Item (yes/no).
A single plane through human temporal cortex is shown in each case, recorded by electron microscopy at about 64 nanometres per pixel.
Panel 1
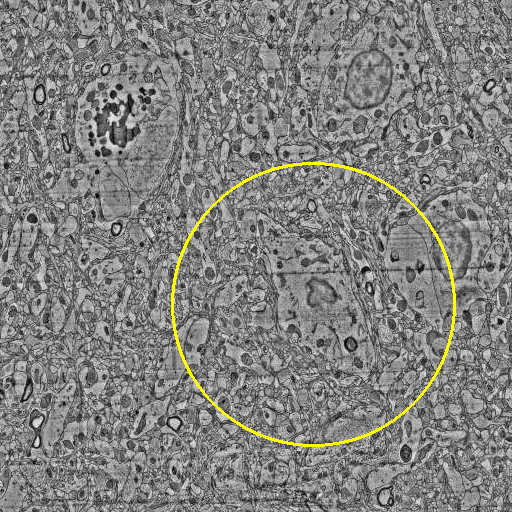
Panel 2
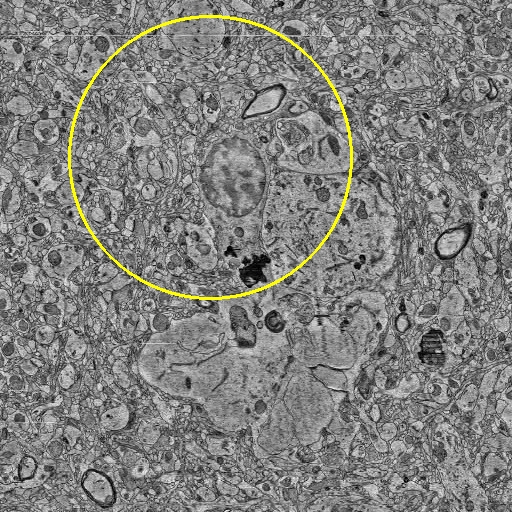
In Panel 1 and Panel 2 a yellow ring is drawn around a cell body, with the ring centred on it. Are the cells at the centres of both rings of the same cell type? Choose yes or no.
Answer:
no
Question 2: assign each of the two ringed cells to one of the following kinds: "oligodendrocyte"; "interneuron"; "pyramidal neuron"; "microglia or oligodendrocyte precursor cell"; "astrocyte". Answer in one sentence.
The two cells are a pyramidal neuron in the first picture and an oligodendrocyte in the second.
